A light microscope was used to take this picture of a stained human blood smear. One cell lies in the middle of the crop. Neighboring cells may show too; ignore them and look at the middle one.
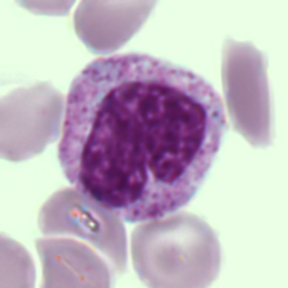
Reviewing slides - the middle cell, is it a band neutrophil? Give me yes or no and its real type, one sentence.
Yes, the cell at the middle of the frame is a band neutrophil.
